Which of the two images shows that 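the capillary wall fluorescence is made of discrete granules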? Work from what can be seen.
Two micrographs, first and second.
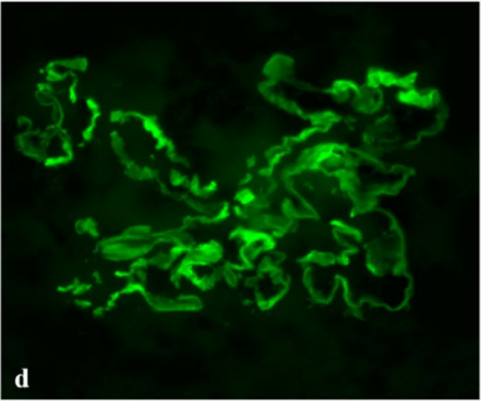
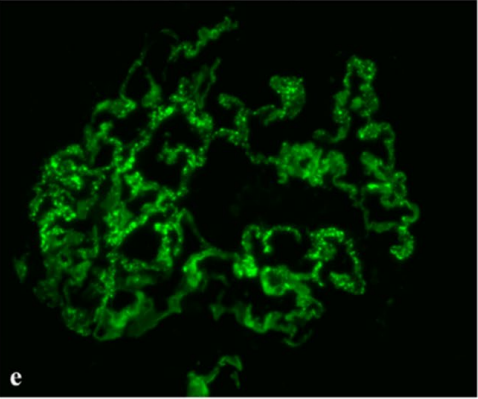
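The second image. Second image: the loops are outlined by many fine separate green dots. First image: the loops are outlined by smooth continuous green lines.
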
